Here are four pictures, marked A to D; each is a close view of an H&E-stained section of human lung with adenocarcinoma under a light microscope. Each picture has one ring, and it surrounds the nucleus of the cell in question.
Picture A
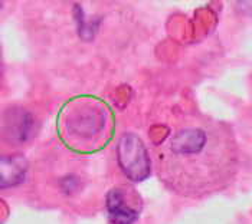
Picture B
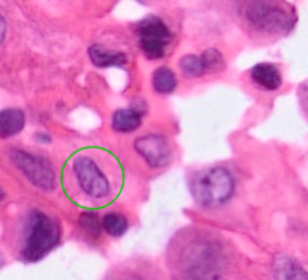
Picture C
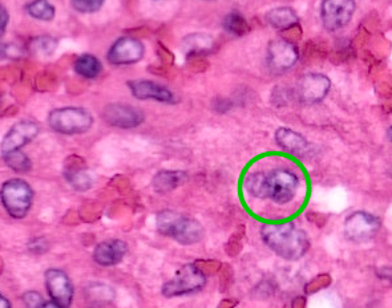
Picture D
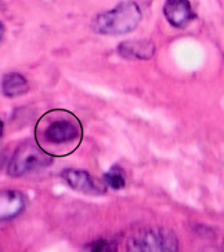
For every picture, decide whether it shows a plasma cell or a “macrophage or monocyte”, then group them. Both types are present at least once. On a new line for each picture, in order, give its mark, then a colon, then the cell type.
A: macrophage or monocyte
B: macrophage or monocyte
C: macrophage or monocyte
D: plasma cell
